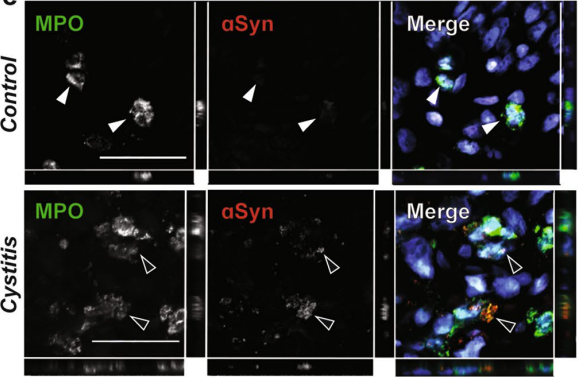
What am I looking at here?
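In the upper row two cells with green granular cytoplasm sit among many oval blue nuclei of the tissue; their red channel is nearly empty. In the lower row several green granular cells are present, and their blue nuclear material looks swollen and less compact. Speckled red signal is clearly visible in and around these cells, and in the merged view orange and red patches lie beside the green cells, partly outside their outlines.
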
